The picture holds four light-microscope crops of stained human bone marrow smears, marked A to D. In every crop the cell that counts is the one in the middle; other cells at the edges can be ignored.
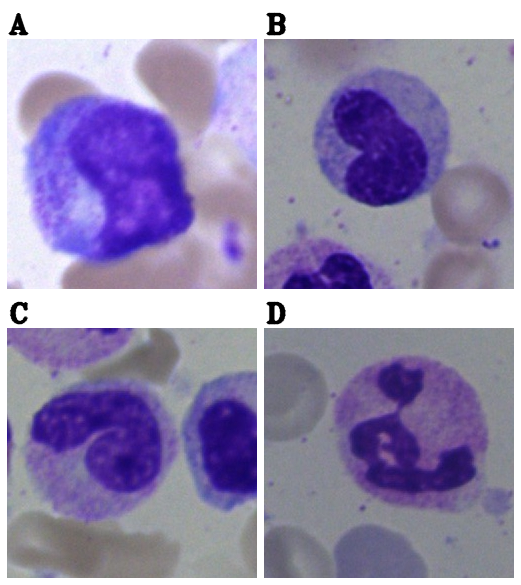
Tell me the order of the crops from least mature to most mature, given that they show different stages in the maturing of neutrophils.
A, B, C, D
